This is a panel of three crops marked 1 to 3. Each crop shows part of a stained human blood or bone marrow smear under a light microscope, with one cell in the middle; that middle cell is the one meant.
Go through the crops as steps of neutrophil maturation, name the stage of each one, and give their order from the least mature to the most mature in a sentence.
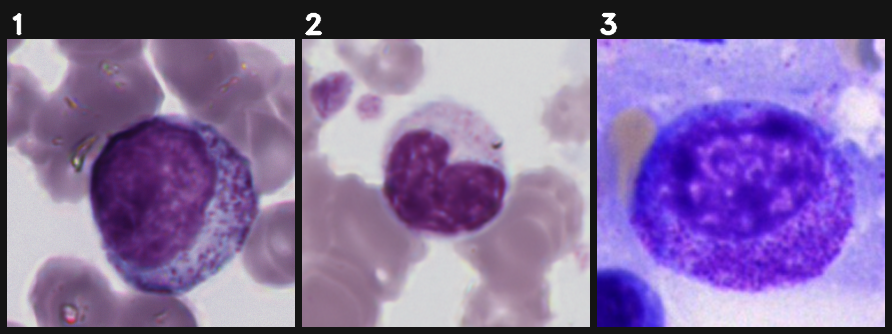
Least mature first and most mature last, the order is crop 3 (a promyelocyte), crop 1 (a myelocyte) and crop 2 (a metamyelocyte).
